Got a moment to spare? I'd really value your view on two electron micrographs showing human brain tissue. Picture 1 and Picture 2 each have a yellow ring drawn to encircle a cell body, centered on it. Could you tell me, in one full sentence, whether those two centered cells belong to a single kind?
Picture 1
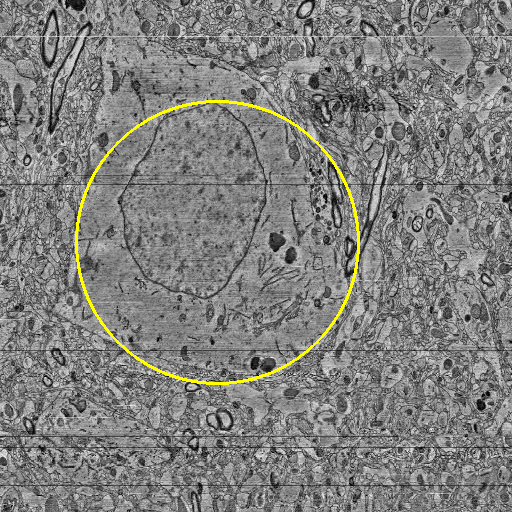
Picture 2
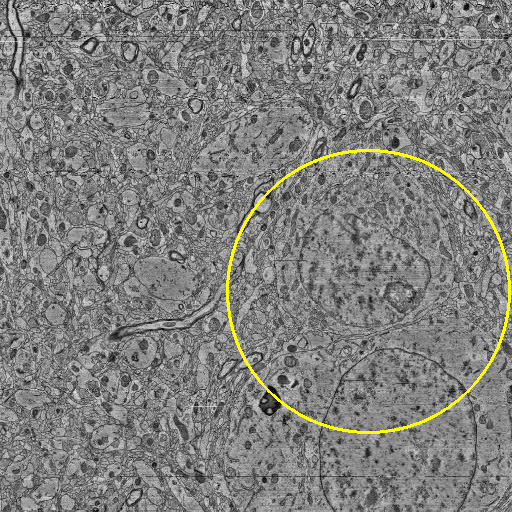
No, the two centered cells in Picture 1 and Picture 2 are of two kinds.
